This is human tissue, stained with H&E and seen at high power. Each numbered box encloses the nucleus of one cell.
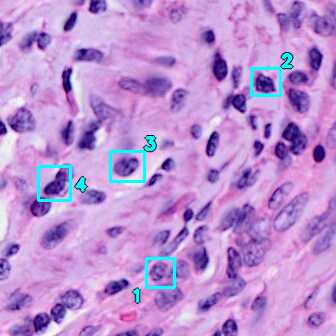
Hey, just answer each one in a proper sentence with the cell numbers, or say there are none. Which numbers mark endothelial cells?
Among the marked cells, an endothelial cell is found only at number 1.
